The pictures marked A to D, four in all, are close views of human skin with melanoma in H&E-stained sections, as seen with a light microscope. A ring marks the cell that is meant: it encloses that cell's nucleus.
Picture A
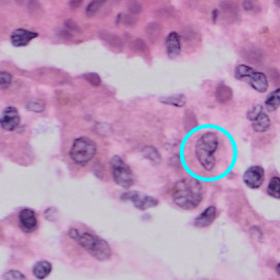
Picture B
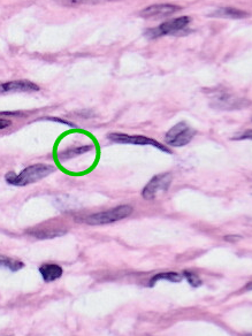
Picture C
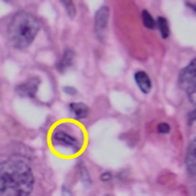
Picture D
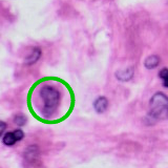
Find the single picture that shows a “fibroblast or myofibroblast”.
B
